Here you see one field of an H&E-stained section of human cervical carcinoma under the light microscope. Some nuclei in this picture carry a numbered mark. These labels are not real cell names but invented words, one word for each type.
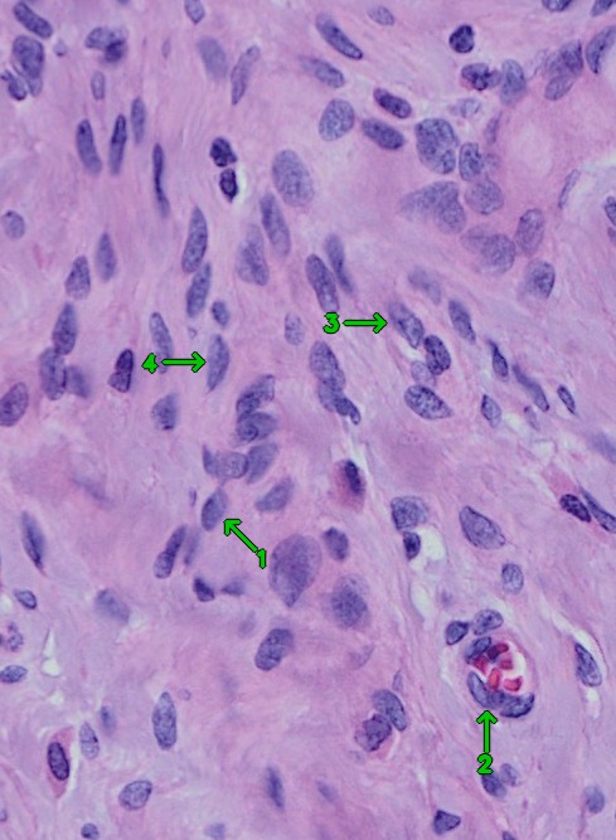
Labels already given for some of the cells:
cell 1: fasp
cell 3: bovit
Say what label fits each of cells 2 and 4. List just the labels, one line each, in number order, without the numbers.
bovit
fasp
